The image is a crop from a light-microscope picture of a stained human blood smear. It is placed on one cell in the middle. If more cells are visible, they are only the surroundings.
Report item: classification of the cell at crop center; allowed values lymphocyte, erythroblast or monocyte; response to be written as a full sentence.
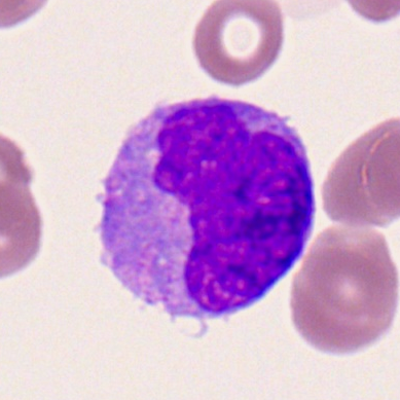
The cell at the middle of the crop is recognized as a monocyte.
